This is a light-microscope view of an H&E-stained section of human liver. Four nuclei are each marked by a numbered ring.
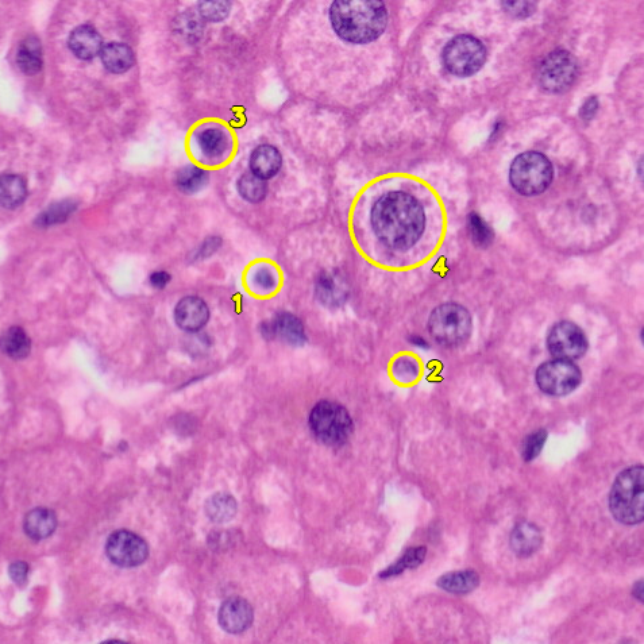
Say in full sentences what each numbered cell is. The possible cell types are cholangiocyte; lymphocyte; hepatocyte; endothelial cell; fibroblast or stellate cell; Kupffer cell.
Cell 1 is a lymphocyte. Cell 2 is a Kupffer cell. Cell 3 is a fibroblast or stellate cell. Cell 4 is a hepatocyte.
